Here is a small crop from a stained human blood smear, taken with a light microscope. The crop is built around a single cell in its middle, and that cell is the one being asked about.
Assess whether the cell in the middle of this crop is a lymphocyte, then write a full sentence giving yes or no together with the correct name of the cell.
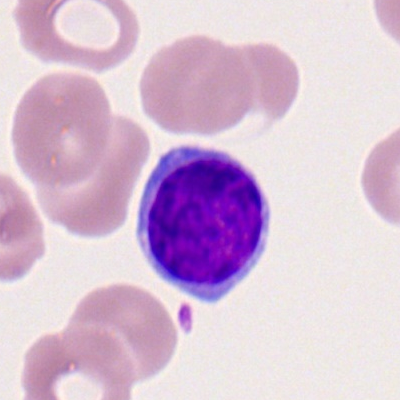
Yes, the cell of interest in the middle is a lymphocyte.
